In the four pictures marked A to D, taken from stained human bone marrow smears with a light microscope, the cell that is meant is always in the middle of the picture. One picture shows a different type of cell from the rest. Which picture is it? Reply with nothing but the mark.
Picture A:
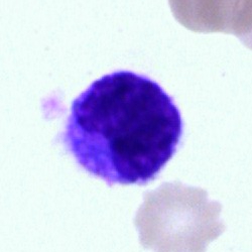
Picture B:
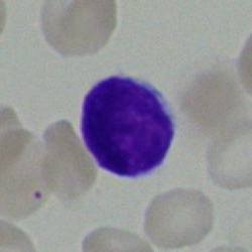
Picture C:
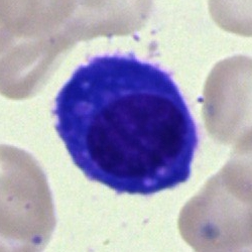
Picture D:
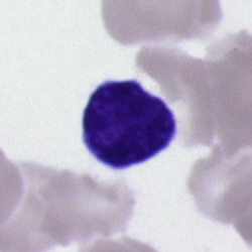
C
